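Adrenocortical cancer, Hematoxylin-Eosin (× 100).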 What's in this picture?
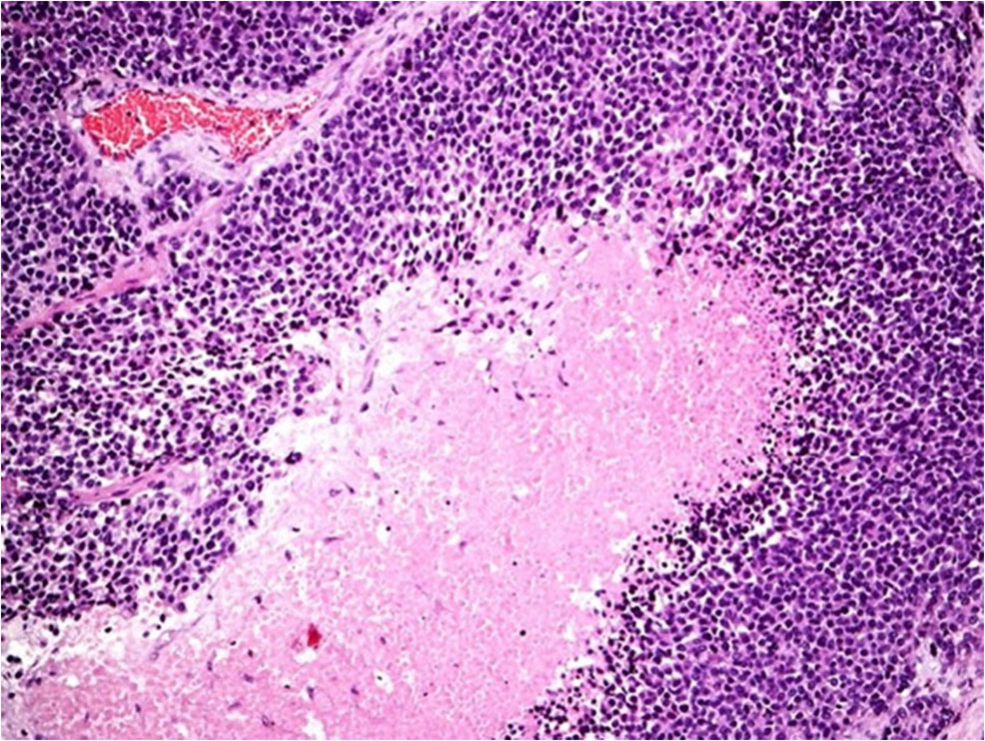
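The tumor cells are small and crowded. Their round to oval nuclei stain dark purple, and there is little cytoplasm around them. In the middle lies a large, pale pink, structureless zone in which almost no nuclei survive, and dark nuclear fragments gather along its border. Thin pink strands of stroma cross the viable tumor, and a blood vessel filled with bright red blood cells lies near the upper left corner.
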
